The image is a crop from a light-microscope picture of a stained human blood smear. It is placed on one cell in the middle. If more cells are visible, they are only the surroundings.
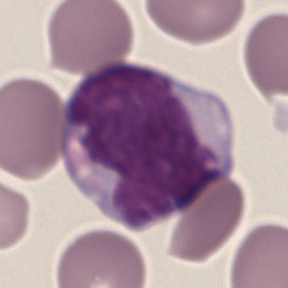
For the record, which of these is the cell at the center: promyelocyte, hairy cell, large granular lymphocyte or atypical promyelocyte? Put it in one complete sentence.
The cell that lies at the centre of the crop is an atypical promyelocyte.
